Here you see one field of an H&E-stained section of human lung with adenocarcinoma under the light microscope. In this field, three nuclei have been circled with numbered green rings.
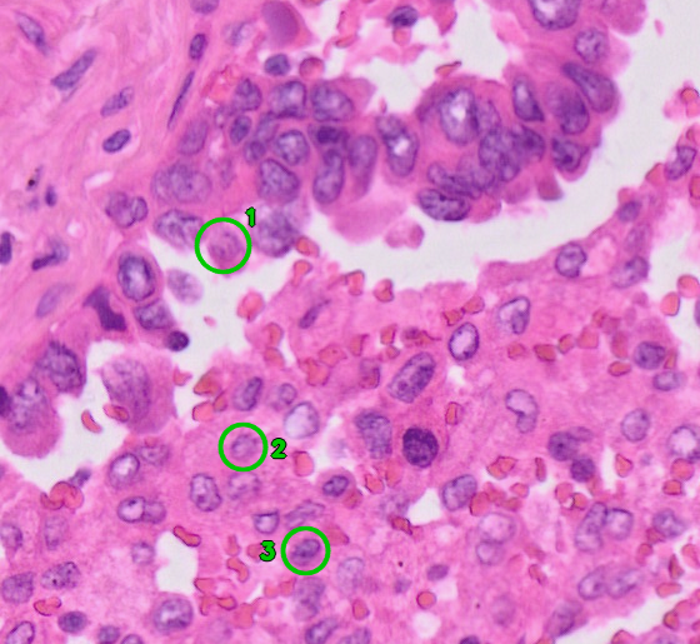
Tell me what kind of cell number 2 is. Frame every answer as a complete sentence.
Classified as a macrophage or monocyte is the cell with the number 2.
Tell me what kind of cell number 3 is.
Cell 3 in the field is a macrophage or monocyte.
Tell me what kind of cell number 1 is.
Identified by the number 1, the cell is a carcinoma cell.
